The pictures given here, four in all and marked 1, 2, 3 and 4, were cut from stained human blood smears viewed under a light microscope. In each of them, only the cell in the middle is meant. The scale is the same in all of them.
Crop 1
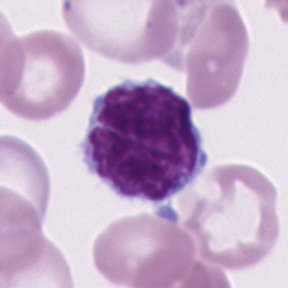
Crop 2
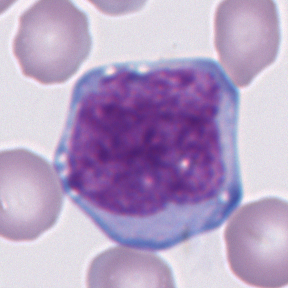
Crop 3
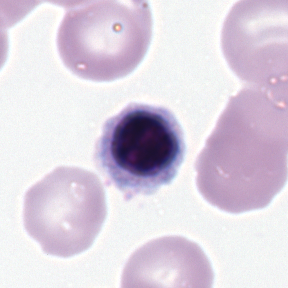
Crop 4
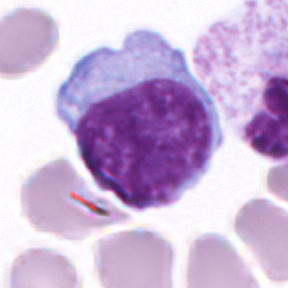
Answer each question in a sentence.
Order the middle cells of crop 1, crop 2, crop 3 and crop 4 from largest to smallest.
The order is 2, 4, 1, 3, beginning with the largest.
